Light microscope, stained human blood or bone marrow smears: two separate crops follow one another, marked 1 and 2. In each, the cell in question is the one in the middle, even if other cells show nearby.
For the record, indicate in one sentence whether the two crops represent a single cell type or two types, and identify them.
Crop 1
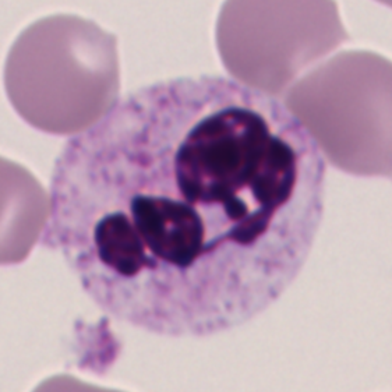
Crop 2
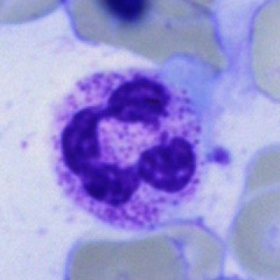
Yes, the cells of interest in both crops are neutrophils.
